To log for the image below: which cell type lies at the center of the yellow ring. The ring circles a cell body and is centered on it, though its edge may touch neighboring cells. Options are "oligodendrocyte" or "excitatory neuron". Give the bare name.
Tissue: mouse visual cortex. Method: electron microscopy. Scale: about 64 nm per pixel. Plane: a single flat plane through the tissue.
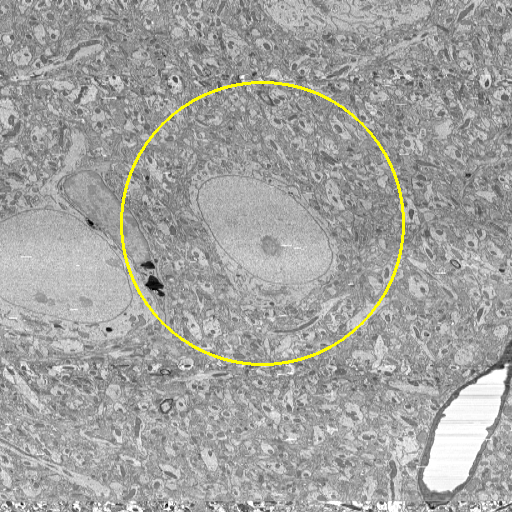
excitatory neuron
